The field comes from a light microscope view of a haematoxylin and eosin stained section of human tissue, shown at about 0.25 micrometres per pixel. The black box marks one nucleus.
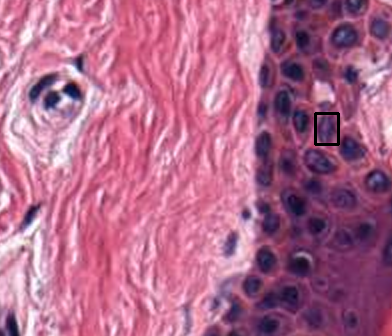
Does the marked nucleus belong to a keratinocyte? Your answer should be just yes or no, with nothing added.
yes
